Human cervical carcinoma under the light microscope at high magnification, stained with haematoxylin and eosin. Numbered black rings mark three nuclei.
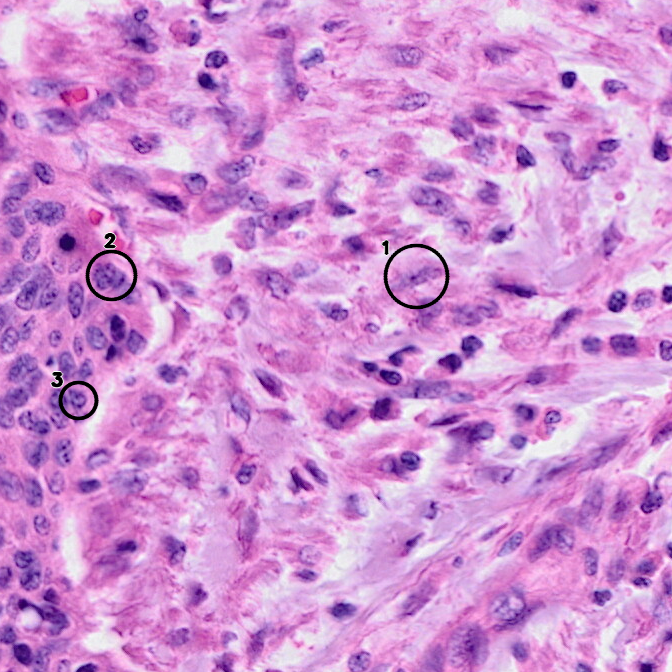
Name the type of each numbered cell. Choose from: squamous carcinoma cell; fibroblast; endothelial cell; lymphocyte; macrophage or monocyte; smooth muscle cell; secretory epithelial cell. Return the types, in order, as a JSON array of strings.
["fibroblast", "squamous carcinoma cell", "squamous carcinoma cell"]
